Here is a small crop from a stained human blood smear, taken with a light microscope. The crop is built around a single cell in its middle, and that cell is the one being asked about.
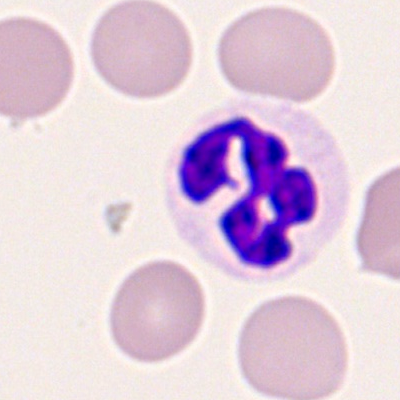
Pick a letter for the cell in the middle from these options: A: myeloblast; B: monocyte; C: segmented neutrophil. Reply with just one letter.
C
